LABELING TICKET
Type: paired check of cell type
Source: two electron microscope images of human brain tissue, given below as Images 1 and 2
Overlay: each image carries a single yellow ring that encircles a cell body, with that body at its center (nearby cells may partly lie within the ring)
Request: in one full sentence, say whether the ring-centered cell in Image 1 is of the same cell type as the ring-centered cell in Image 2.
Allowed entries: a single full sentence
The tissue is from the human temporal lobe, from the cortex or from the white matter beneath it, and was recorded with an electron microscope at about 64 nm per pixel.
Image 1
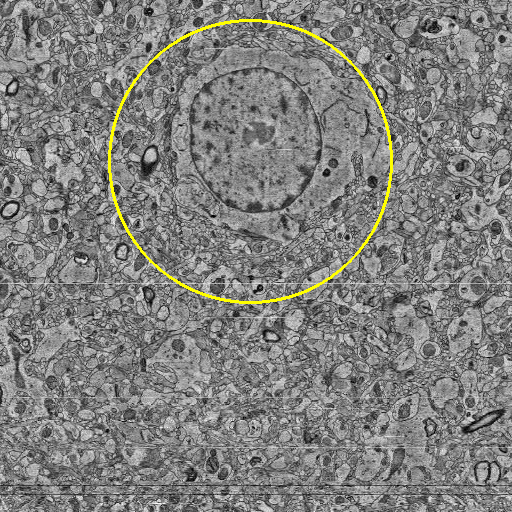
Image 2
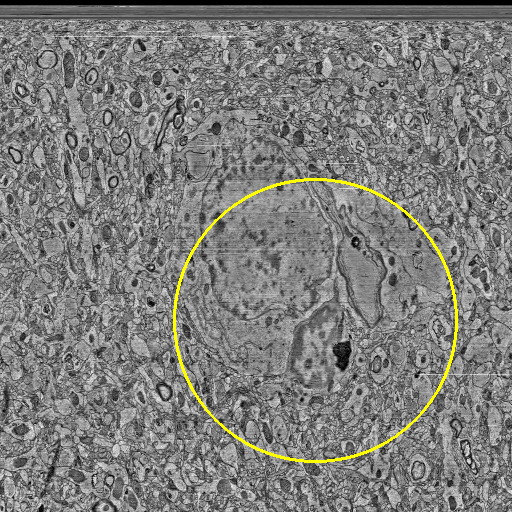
No, the cells centered in the rings of Image 1 and Image 2 are of two types.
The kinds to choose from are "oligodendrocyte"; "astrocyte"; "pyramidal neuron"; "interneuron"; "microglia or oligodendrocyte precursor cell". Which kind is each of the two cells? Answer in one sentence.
Of the two, the first cell is an astrocyte and the second cell is an oligodendrocyte.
